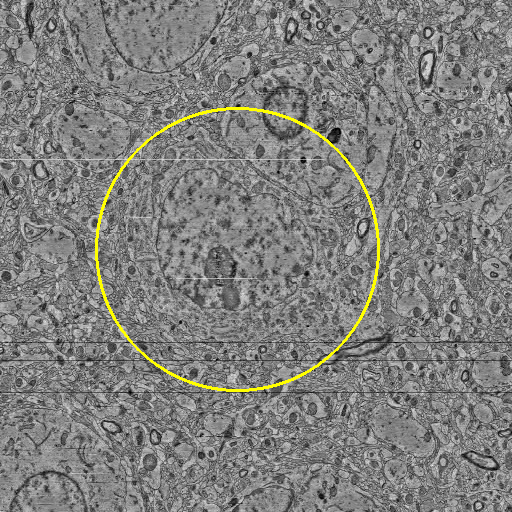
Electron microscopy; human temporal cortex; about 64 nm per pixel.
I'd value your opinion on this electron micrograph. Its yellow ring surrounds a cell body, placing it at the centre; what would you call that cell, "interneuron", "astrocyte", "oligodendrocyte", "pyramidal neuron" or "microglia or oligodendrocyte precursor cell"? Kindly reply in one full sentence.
It is an interneuron that sits centred within the yellow ring in this micrograph.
